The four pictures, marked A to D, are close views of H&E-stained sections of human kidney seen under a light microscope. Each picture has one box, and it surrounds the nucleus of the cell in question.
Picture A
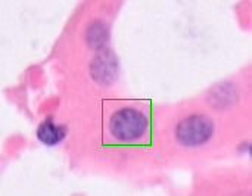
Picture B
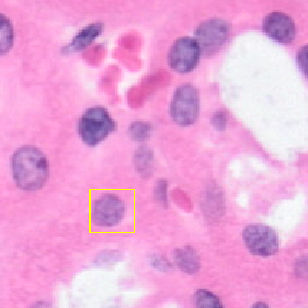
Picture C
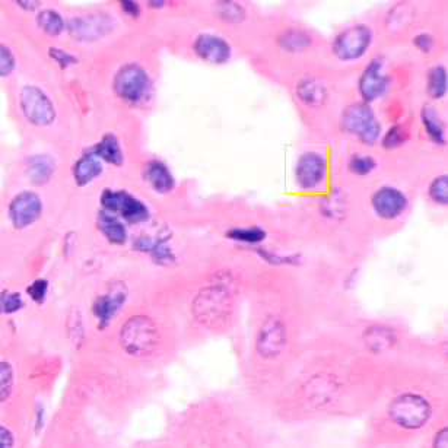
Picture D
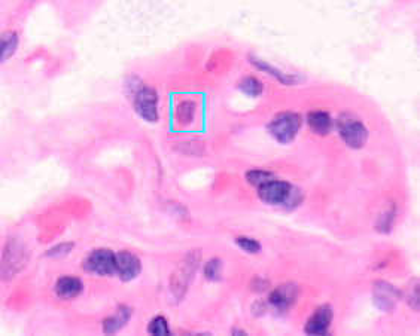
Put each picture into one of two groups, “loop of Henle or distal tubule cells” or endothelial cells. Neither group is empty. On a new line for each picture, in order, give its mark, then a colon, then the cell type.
A: loop of Henle or distal tubule cell
B: loop of Henle or distal tubule cell
C: loop of Henle or distal tubule cell
D: endothelial cell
